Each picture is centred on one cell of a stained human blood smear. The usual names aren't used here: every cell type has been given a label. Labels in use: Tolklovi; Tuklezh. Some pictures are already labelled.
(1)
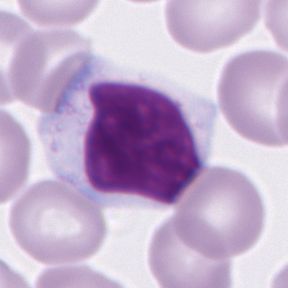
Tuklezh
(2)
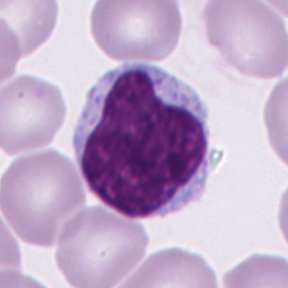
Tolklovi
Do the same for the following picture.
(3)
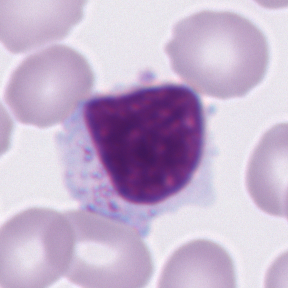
Tuklezh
